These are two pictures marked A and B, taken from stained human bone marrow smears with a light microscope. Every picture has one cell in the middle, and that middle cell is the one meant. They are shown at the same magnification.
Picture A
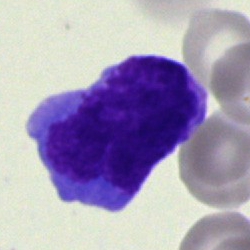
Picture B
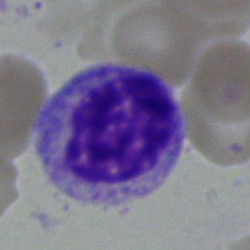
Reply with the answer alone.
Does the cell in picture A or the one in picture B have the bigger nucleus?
A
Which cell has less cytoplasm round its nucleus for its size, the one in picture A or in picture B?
A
